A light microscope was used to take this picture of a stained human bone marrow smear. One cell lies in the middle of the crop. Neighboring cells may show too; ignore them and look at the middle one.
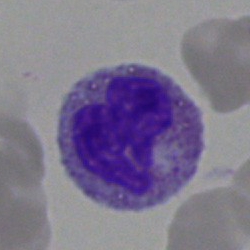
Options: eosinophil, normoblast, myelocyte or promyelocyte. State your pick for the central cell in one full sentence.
This crop's central cell is an eosinophil.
